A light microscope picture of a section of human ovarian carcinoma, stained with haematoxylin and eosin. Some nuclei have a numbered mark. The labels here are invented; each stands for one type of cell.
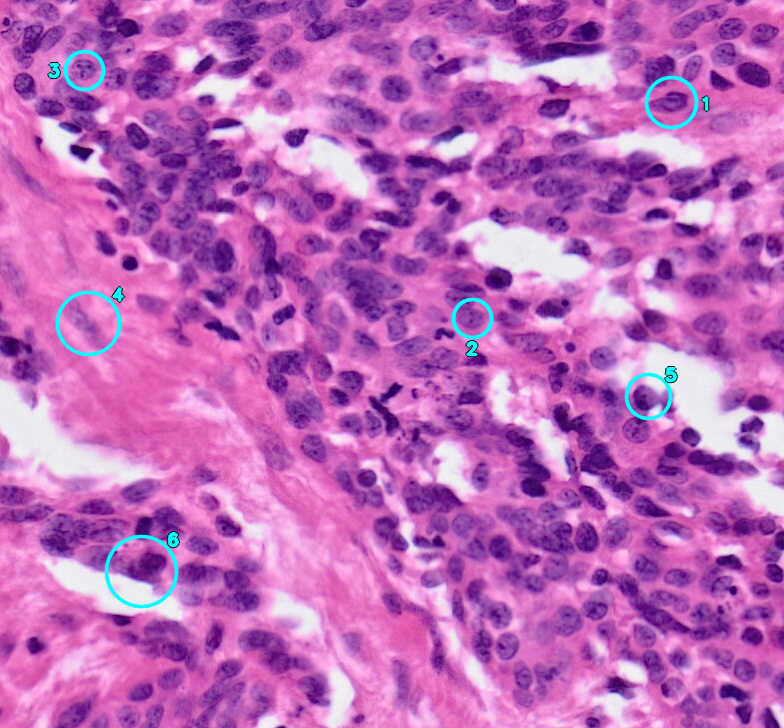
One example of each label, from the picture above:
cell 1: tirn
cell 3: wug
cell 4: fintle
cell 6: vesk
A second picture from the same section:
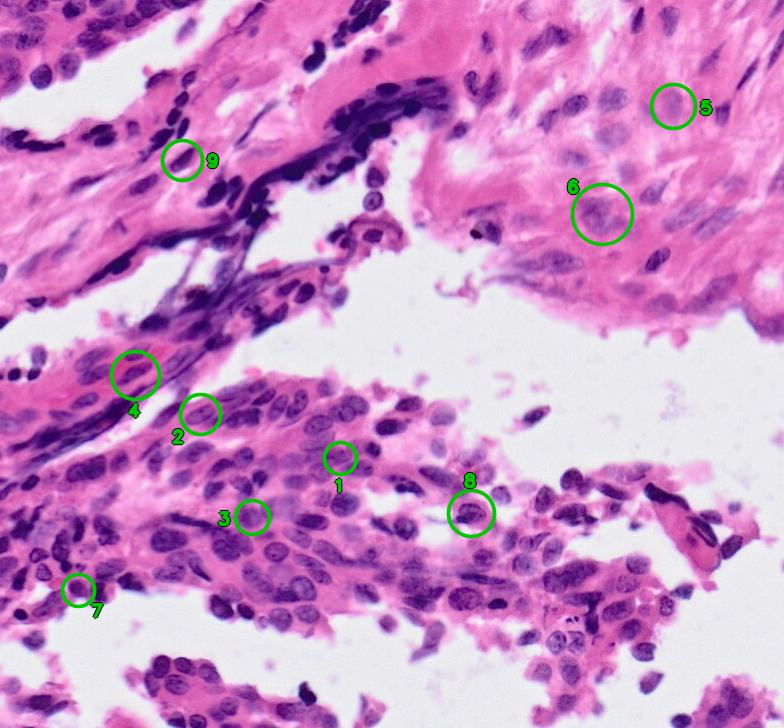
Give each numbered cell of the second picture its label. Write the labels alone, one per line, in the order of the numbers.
vesk
vesk
vesk
tirn
fintle
fintle
vesk
wug
fintle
